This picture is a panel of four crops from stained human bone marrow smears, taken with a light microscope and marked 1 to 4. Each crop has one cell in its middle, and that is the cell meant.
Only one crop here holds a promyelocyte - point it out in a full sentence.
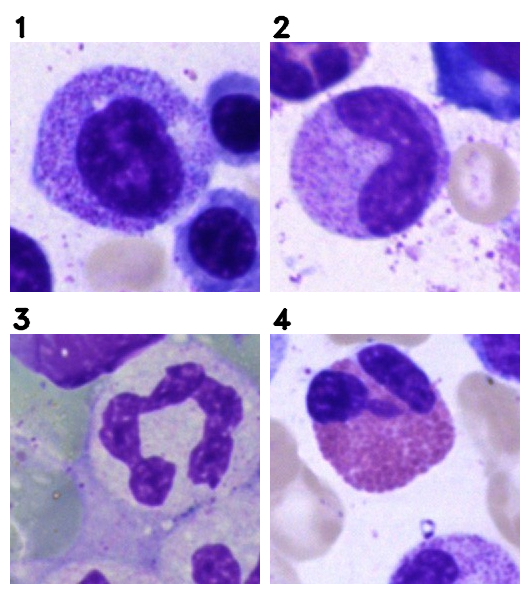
It is crop 1, not any other, that shows a promyelocyte.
